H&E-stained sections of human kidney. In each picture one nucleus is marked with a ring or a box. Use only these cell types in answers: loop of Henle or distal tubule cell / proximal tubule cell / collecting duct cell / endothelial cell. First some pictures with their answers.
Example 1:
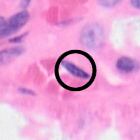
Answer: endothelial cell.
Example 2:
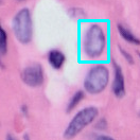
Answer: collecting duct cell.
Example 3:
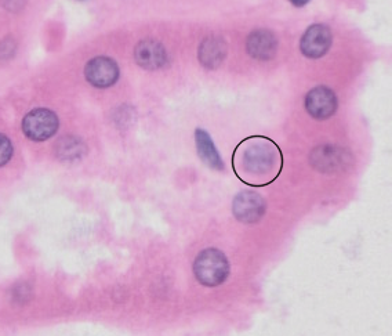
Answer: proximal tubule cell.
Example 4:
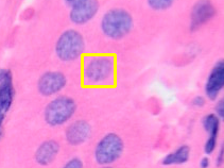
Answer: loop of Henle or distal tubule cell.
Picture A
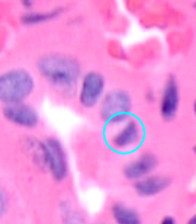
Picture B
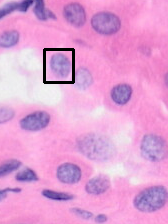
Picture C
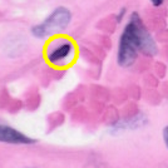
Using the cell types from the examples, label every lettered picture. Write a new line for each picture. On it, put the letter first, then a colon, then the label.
A: collecting duct cell.
B: loop of Henle or distal tubule cell.
C: endothelial cell.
